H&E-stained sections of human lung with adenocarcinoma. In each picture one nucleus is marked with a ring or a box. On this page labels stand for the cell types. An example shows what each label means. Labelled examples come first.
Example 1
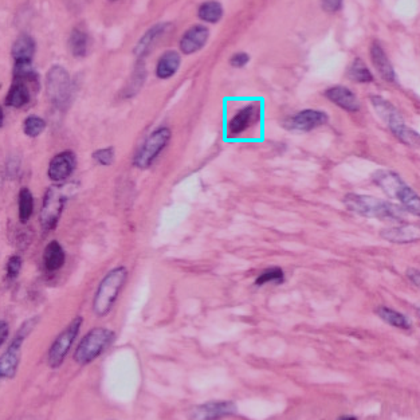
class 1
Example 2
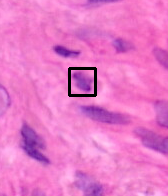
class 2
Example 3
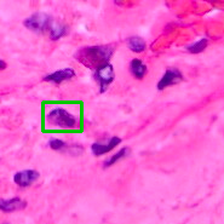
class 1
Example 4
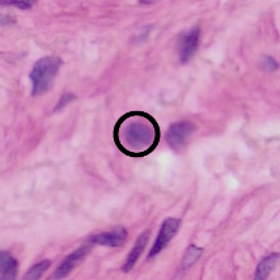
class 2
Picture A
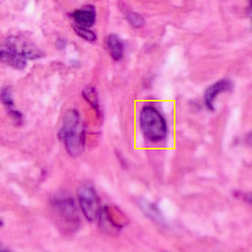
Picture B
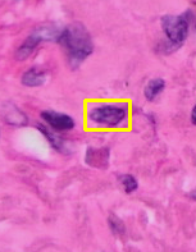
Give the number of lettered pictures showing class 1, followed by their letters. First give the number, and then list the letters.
2, namely A, B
